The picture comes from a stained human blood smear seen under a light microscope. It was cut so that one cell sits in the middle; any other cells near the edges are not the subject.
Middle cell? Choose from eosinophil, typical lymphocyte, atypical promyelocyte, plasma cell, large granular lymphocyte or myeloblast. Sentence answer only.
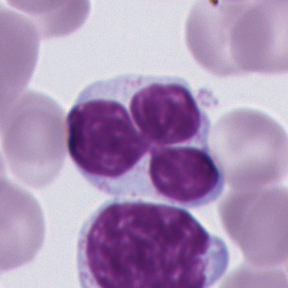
The cell at the central position in this crop is a large granular lymphocyte.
